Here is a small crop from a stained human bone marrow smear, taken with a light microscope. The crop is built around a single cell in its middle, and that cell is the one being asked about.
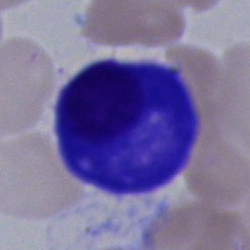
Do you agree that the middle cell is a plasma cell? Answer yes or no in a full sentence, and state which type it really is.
Yes, the cell found at the centre of the crop is a plasma cell.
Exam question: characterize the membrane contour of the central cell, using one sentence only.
The edge of the cell is unbroken and smooth, bearing no projections.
